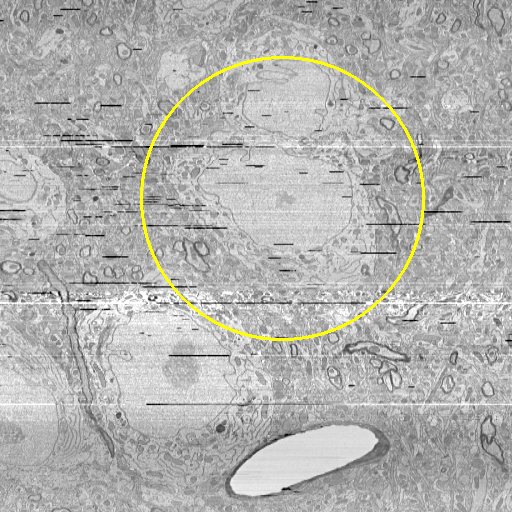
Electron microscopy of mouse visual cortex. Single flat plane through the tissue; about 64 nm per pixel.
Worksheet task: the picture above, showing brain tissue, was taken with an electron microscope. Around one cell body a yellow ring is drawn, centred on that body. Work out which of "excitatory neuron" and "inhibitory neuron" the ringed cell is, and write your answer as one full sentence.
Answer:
It is an excitatory neuron whose cell body lies at the centre of the yellow ring.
